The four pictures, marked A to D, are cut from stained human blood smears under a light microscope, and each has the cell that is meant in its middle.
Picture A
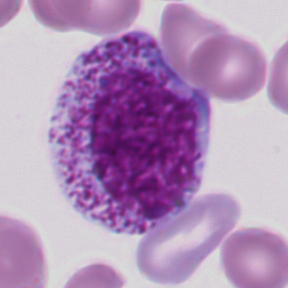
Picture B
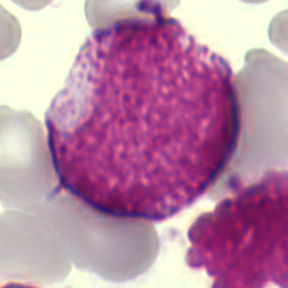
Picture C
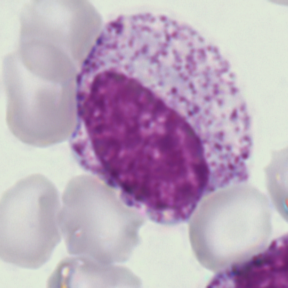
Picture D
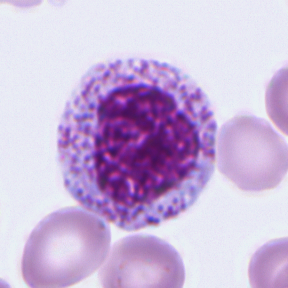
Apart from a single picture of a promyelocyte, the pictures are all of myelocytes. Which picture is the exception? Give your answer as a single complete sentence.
Picture B shows the promyelocyte.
